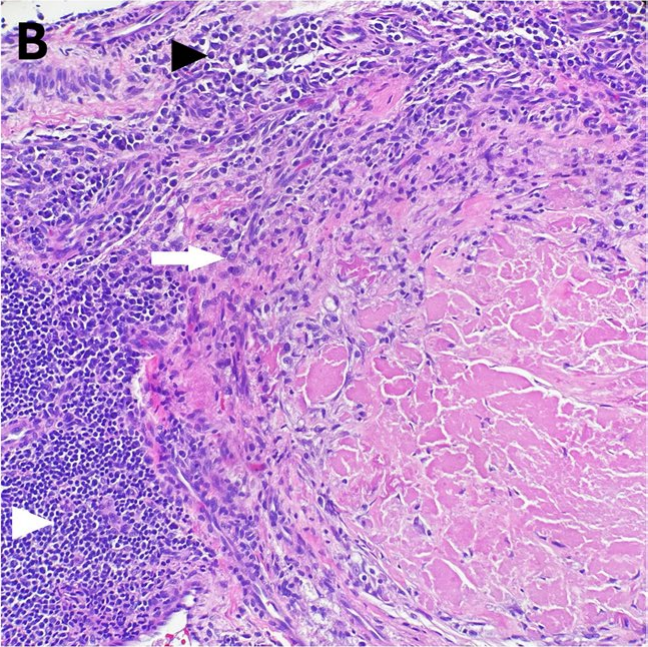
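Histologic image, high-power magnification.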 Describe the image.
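Chronic inflammation at the edge of hyalinized tissue: at the lower left lies a dense sheet of small lymphocytes with dark round nuclei and scant cytoplasm, while at the top are plasma cells with eccentric round nuclei and pinker cytoplasm. Between them and the glassy pink hyalinized material on the right lie histiocytes with elongated, paler oval nuclei and more abundant pale pink cytoplasm.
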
